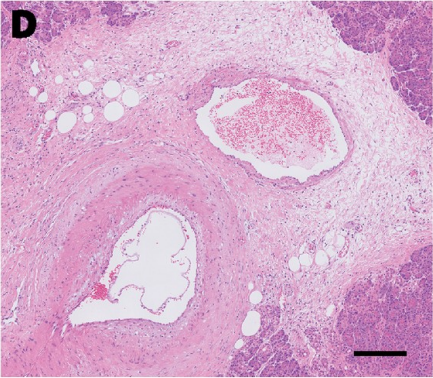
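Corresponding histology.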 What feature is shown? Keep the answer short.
vessels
